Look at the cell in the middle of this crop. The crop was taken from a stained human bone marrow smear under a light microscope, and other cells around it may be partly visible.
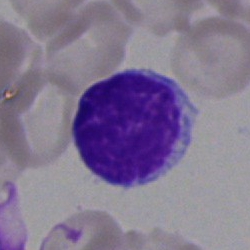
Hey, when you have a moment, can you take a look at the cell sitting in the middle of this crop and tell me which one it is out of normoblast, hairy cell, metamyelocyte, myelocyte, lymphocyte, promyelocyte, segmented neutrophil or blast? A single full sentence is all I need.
The centrally located cell in the crop is a lymphocyte.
